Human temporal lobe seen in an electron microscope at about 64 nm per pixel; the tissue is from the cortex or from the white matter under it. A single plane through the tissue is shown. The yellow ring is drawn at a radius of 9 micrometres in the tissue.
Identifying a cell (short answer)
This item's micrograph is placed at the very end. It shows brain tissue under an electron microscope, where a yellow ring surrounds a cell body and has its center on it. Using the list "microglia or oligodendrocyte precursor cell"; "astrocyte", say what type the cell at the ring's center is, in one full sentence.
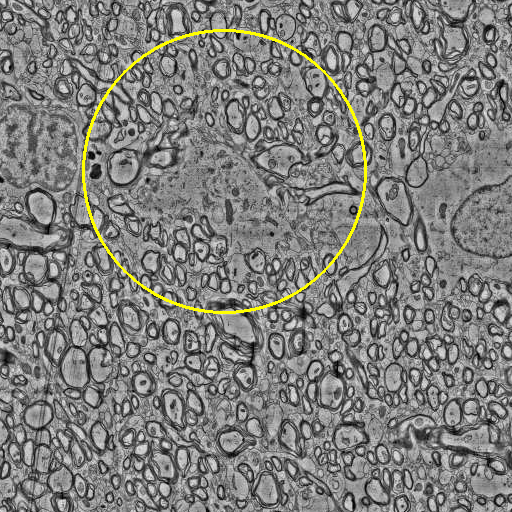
This picture shows a microglial cell or oligodendrocyte precursor cell at the center of the yellow ring drawn on it.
